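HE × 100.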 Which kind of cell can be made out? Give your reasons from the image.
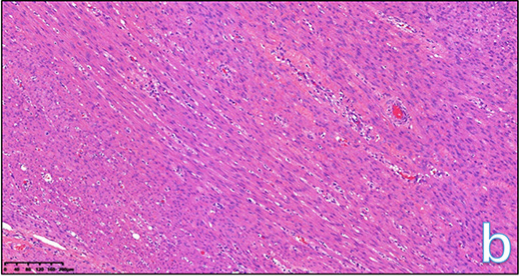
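Spindle cells. Cells are elongated and lie side by side in long parallel bundles. Nuclei are slender and cigar-like. Cytoplasm is pink and drawn out along the cells' long axis.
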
